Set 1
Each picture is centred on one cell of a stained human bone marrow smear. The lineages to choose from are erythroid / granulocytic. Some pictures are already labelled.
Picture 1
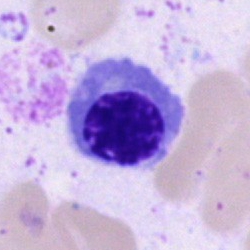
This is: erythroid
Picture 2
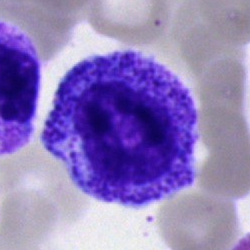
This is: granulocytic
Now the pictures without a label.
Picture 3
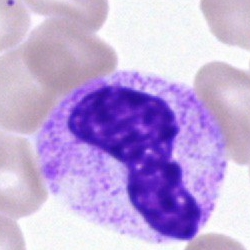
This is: granulocytic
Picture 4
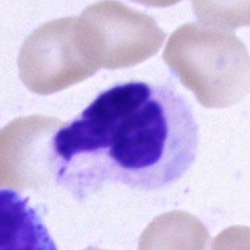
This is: granulocytic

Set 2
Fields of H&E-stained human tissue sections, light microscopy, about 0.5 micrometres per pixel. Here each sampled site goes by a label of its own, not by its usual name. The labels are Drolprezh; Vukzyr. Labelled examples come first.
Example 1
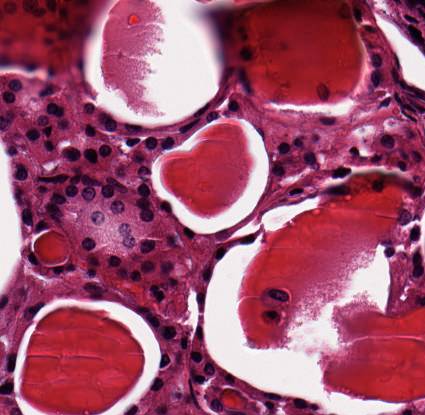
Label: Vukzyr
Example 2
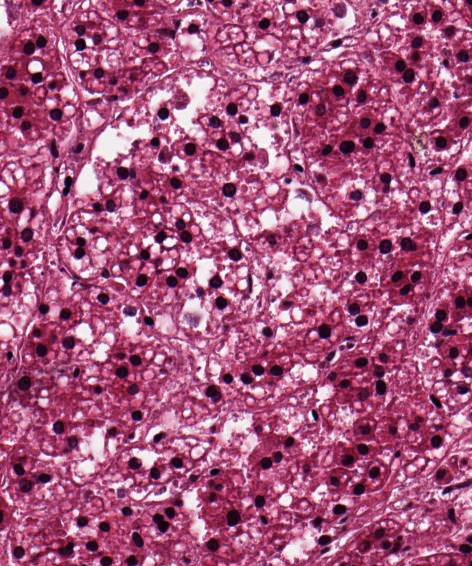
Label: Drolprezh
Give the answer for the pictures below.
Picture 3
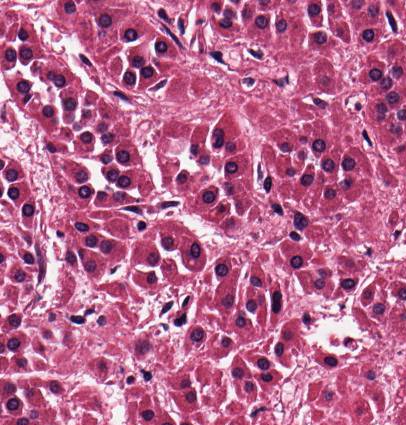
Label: Drolprezh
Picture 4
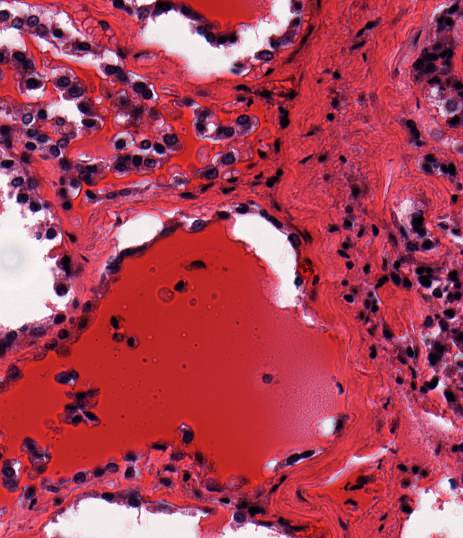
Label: Vukzyr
